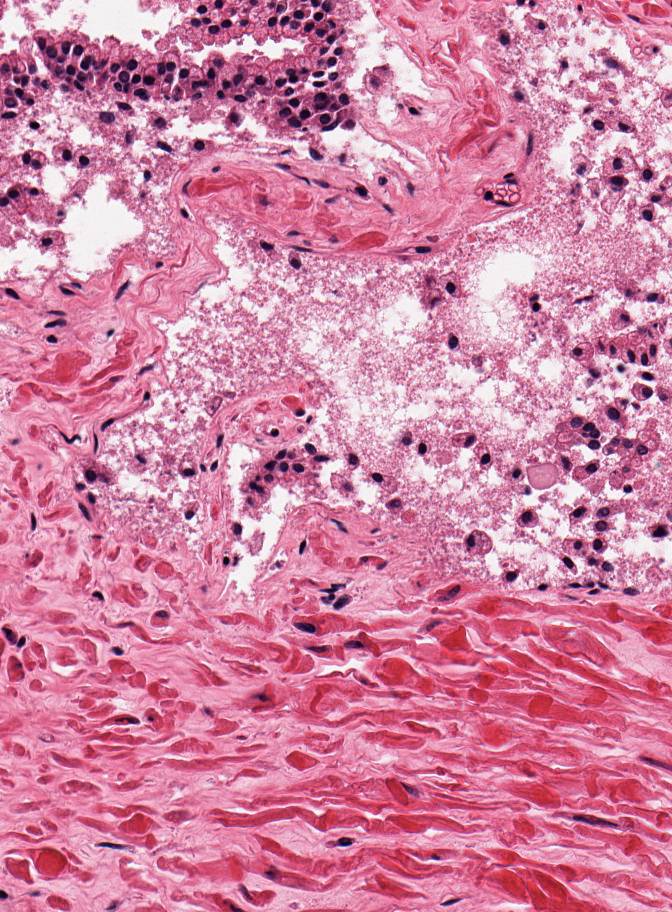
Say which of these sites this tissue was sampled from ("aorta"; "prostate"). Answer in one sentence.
The site this tissue was sampled from is the prostate.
